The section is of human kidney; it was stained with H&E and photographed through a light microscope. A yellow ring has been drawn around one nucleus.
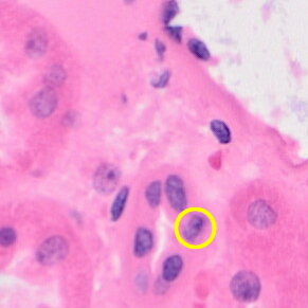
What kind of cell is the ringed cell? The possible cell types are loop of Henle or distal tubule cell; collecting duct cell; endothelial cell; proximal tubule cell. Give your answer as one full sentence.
By its classification, the ringed cell is a collecting duct cell.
